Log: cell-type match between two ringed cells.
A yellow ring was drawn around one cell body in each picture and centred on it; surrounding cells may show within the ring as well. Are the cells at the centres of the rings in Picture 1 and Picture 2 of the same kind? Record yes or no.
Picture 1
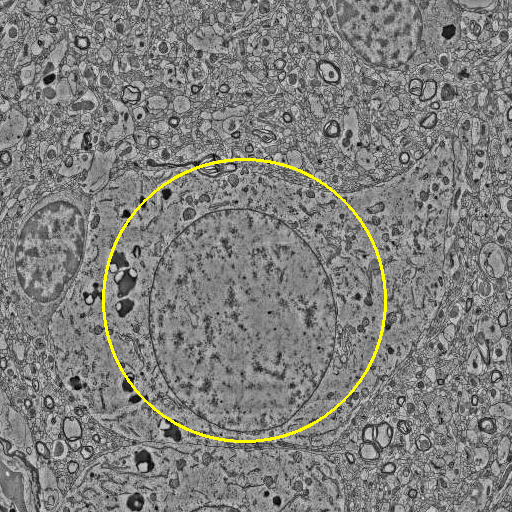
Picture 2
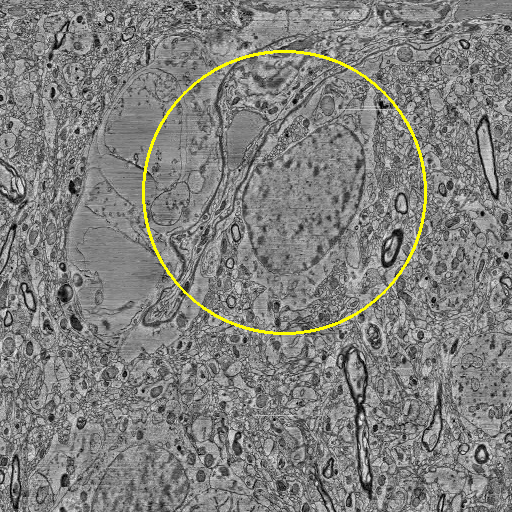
no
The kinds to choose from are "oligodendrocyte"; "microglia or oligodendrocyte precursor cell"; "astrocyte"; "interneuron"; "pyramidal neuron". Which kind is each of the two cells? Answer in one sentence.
Of the two, the first cell is a pyramidal neuron and the second cell is a microglial cell or oligodendrocyte precursor cell.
